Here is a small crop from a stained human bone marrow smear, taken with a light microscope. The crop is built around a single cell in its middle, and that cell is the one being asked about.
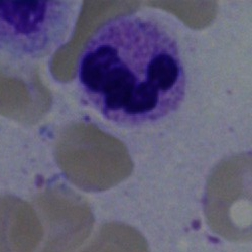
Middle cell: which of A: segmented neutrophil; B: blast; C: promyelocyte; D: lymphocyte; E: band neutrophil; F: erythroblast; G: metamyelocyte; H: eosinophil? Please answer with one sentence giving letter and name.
Option A is the correct option, with the middle cell being a segmented neutrophil.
